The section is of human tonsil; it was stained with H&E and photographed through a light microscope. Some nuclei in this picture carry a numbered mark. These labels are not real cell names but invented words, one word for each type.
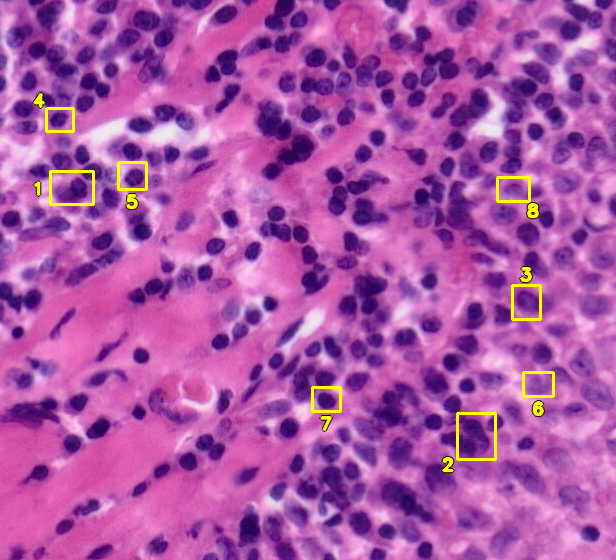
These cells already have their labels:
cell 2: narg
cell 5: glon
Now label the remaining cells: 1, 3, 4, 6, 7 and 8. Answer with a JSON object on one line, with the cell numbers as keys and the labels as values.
{"1": "glon", "3": "narg", "4": "glon", "6": "narg", "7": "glon", "8": "narg"}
